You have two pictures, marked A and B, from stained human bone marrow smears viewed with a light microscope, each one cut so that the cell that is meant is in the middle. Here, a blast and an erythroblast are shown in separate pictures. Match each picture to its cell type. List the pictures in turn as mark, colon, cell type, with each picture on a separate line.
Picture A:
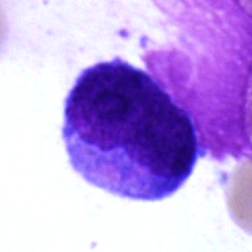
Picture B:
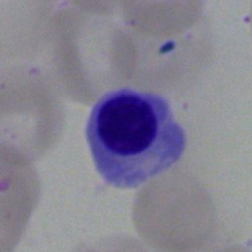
A: blast
B: erythroblast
